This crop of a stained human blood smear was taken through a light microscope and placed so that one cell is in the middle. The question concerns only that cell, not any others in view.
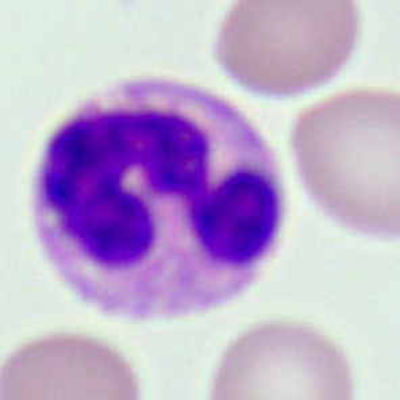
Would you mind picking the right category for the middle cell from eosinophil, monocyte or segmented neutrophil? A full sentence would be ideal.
The center cell of this crop is a segmented neutrophil.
